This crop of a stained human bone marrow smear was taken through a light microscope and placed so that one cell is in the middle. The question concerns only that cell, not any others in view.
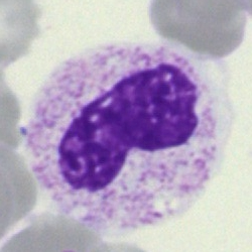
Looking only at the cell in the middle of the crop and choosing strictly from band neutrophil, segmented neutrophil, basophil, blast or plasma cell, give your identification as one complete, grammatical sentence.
For this crop, the cell in the middle is a band neutrophil.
